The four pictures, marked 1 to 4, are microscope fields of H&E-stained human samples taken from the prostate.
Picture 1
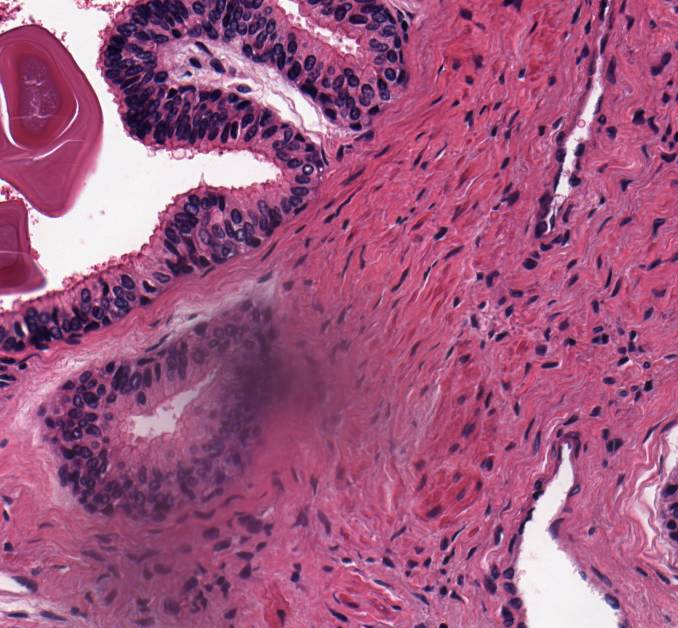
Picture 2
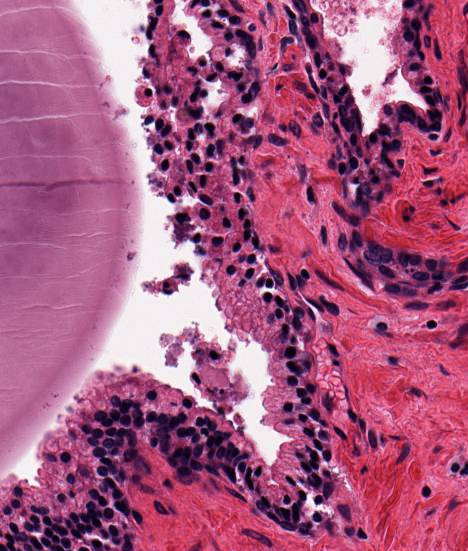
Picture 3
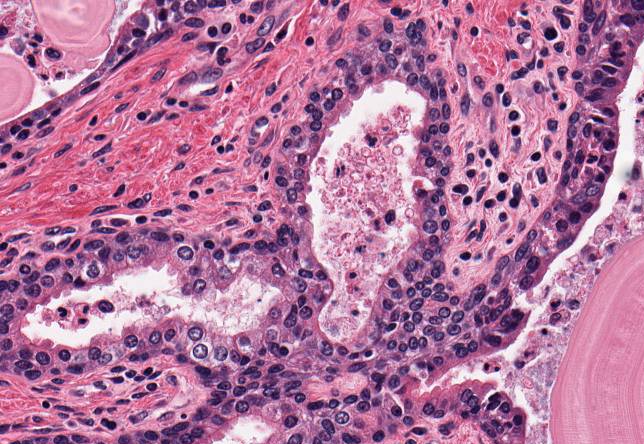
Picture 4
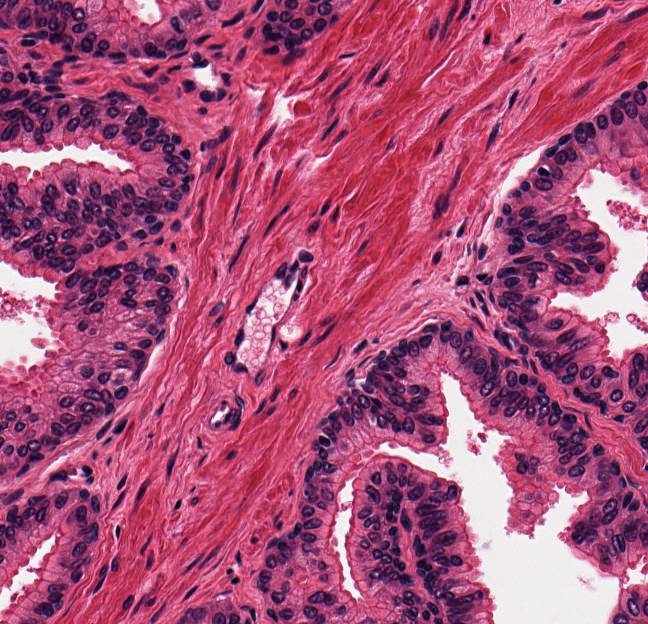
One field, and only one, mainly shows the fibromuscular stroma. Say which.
1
